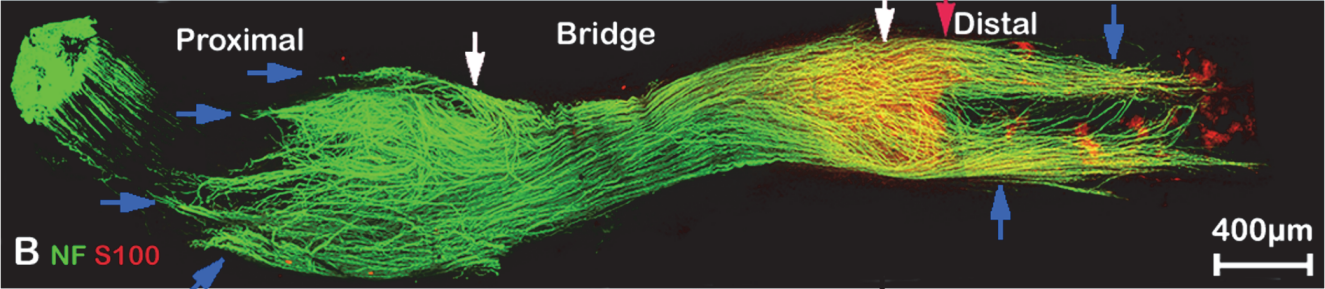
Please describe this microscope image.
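In the left part the fibres spread out in a broad fan, and at the outer edges some bundles run along the margin of the tissue. In the right part the green fibres continue in parallel strands, and some run along the upper and lower edges of the nerve. Red patches lie mainly in the right part, where red and green overlap to appear yellow.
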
